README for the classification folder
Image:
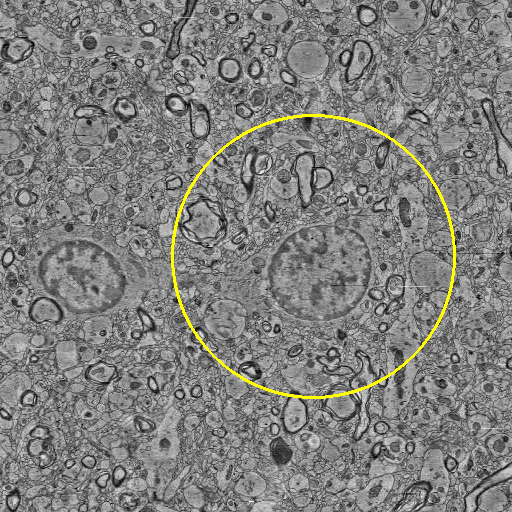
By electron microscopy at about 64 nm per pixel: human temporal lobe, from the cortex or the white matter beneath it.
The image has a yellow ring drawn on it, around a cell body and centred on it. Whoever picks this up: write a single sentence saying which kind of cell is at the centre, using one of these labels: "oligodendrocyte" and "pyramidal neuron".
This cell body is that of an oligodendrocyte.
